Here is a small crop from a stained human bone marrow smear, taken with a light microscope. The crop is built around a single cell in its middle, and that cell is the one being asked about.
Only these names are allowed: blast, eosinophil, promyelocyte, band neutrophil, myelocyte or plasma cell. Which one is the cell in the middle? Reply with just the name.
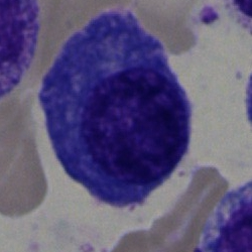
plasma cell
